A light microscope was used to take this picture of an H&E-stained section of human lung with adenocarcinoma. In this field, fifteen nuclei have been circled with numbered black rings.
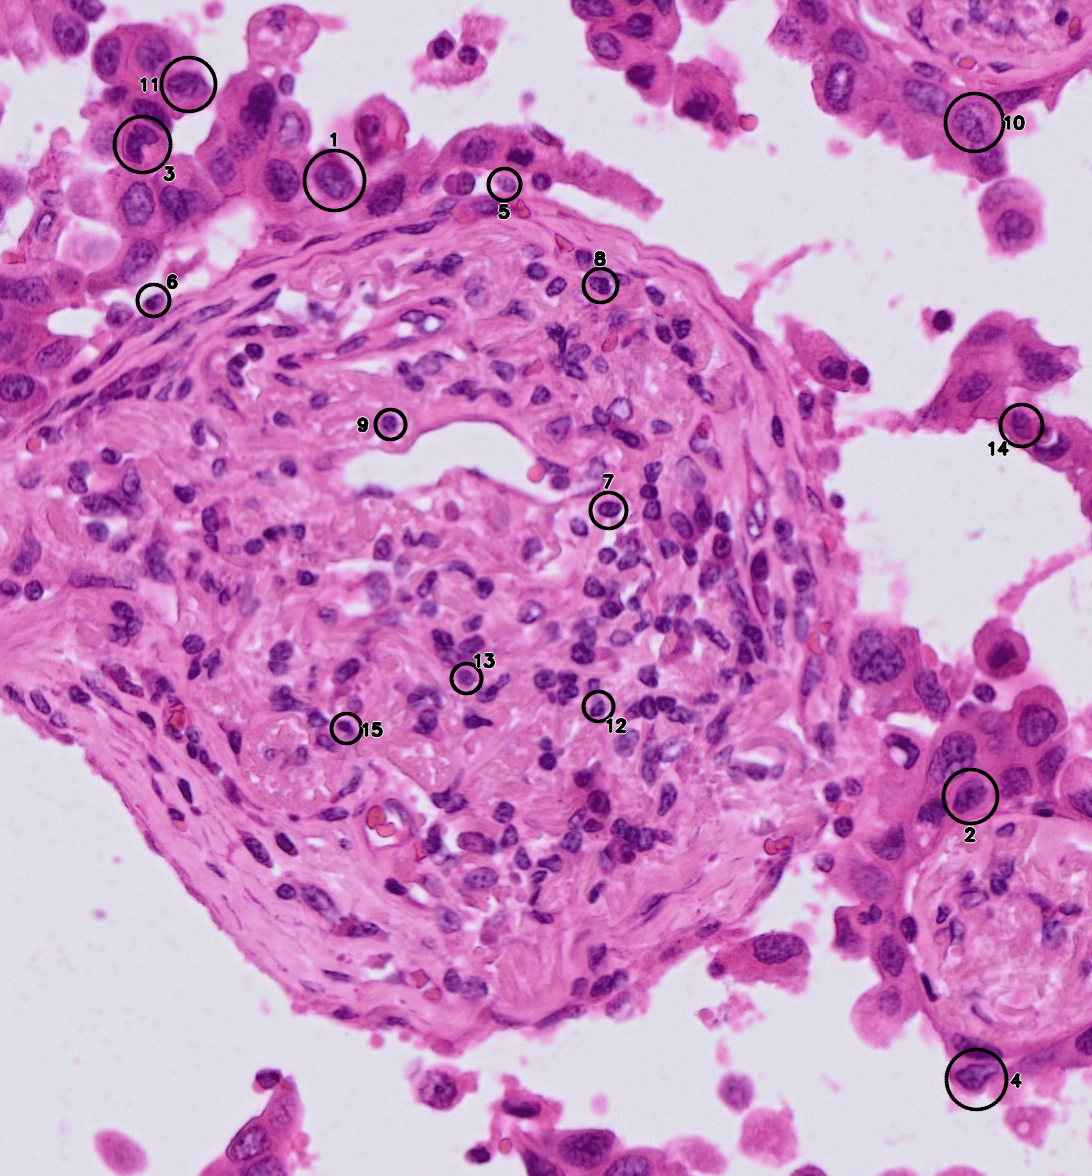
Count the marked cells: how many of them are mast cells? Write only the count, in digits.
0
